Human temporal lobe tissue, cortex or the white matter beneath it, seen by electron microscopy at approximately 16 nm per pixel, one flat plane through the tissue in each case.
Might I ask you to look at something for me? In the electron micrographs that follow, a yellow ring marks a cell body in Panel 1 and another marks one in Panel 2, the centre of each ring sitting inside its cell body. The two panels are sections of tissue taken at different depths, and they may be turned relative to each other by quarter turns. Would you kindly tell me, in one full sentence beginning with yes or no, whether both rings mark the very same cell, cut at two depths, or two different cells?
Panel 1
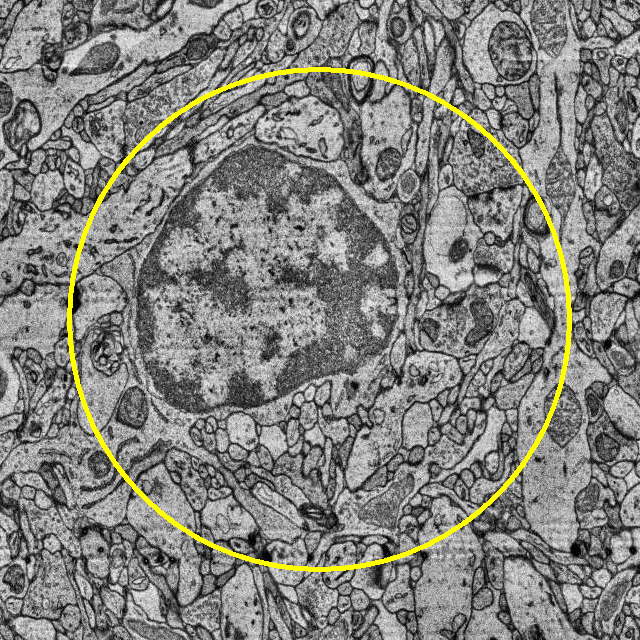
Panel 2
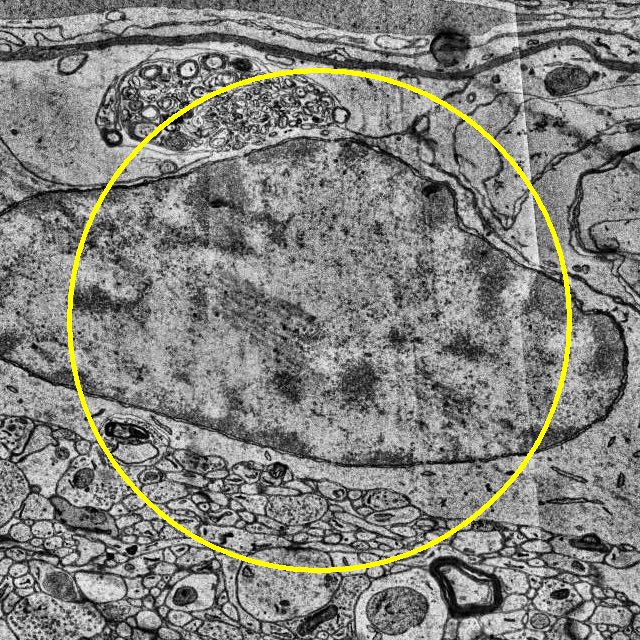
No, two cells, not one, are marked by the yellow rings.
